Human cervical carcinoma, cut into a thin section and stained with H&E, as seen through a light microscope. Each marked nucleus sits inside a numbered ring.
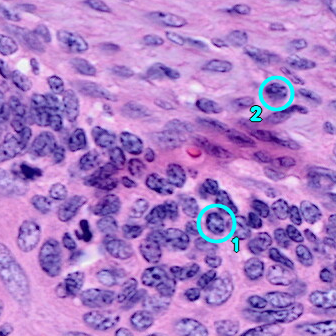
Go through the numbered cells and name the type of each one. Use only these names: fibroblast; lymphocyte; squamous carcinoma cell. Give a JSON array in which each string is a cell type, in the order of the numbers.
["squamous carcinoma cell", "lymphocyte"]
